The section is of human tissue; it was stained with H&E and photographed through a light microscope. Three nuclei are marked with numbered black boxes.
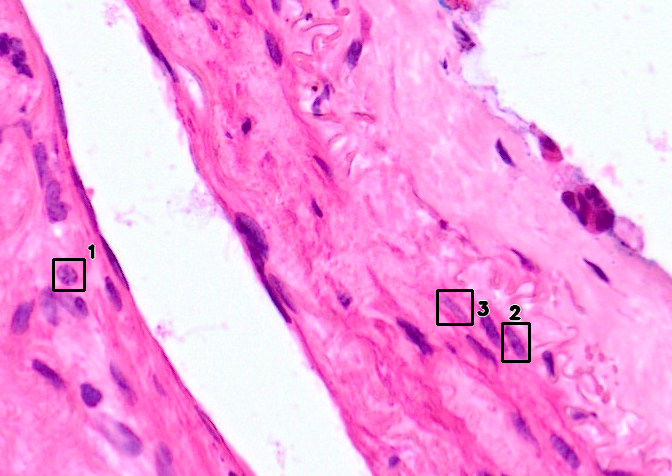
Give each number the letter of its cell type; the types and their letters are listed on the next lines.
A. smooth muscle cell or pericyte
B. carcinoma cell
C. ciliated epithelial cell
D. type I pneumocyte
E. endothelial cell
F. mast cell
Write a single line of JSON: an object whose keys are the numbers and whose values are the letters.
{"1": "F", "2": "A", "3": "A"}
